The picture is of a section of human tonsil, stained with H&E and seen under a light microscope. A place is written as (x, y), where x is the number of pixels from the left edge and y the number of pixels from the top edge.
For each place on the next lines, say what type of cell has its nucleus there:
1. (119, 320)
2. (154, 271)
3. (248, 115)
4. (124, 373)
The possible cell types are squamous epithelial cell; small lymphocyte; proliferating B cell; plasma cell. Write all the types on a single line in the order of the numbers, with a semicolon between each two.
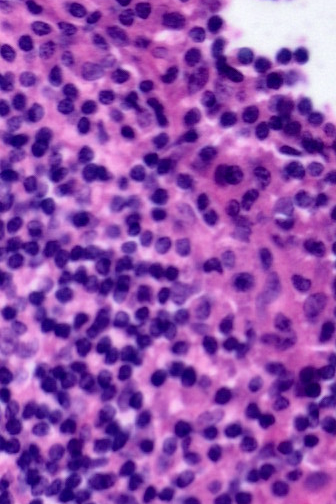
small lymphocyte; small lymphocyte; plasma cell; small lymphocyte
